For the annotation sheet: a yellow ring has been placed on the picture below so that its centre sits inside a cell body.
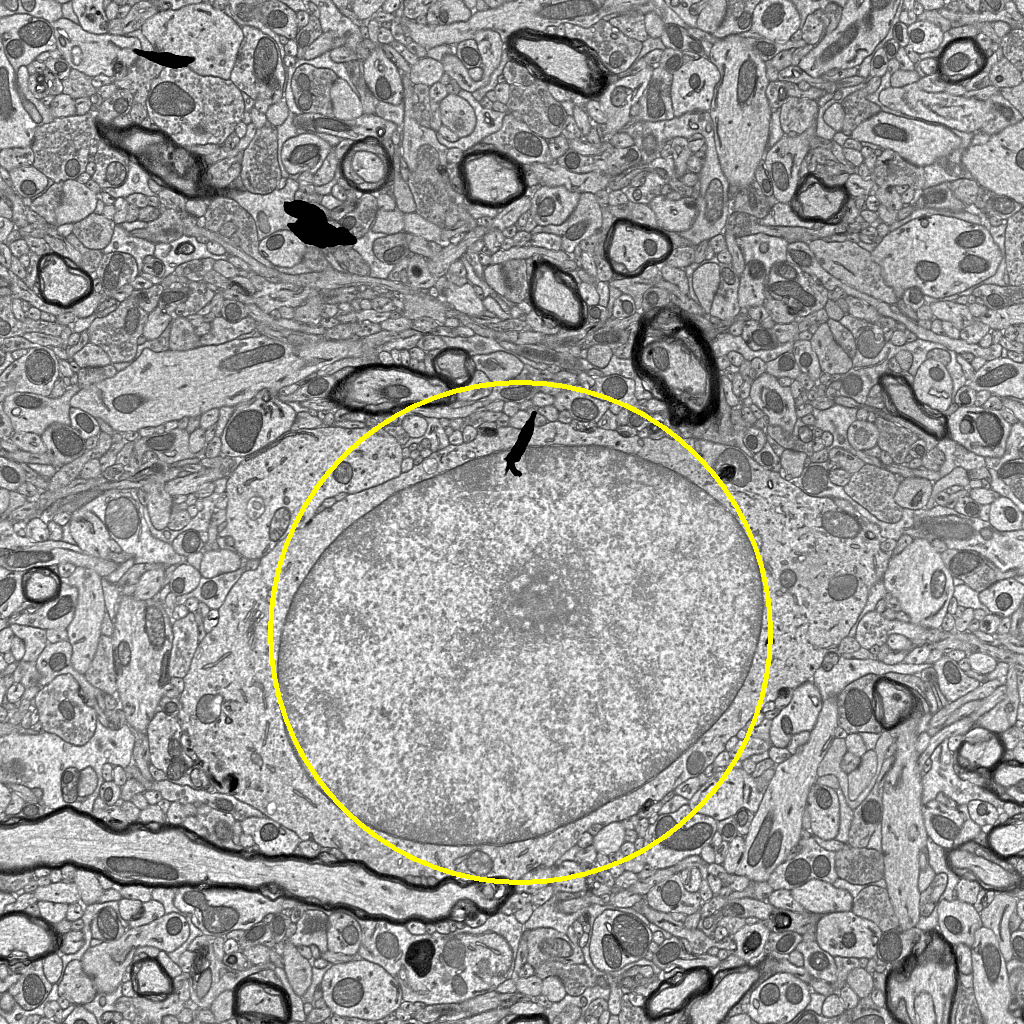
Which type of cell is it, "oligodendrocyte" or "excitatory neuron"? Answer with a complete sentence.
The cell at the ring's centre is an oligodendrocyte.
